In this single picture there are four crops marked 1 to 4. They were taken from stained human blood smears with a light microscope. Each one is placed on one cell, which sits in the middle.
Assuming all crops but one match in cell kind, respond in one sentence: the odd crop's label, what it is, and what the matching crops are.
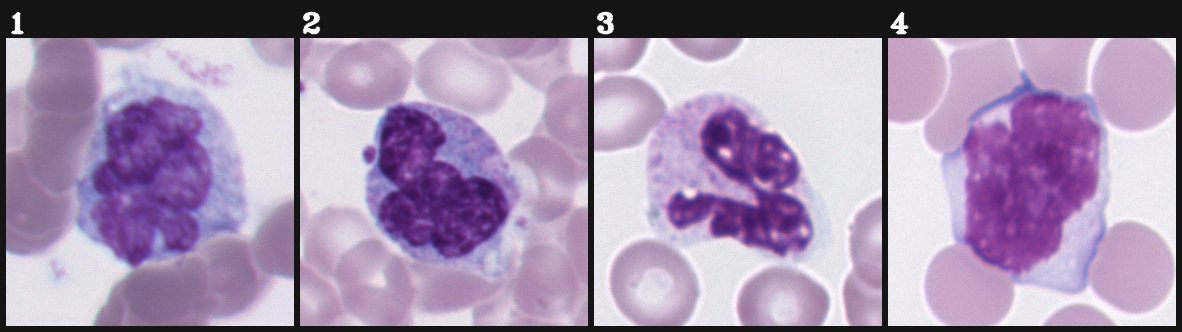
While crop 3 shows a segmented neutrophil, the other crops all show monocytes.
